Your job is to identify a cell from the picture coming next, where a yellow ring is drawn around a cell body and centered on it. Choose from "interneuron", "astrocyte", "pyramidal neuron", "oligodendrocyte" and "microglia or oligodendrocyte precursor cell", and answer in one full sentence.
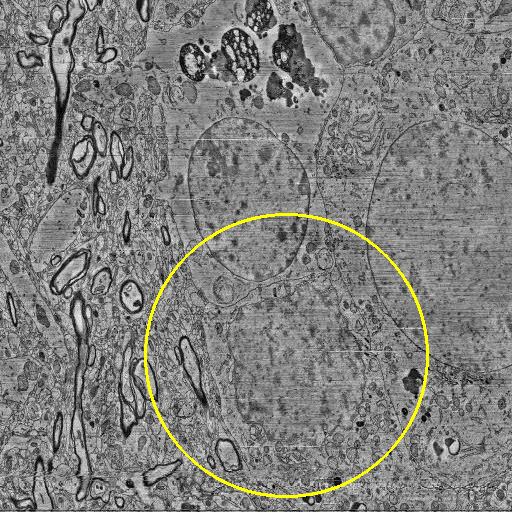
Centered in the yellow ring of the picture is the body of an interneuron.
